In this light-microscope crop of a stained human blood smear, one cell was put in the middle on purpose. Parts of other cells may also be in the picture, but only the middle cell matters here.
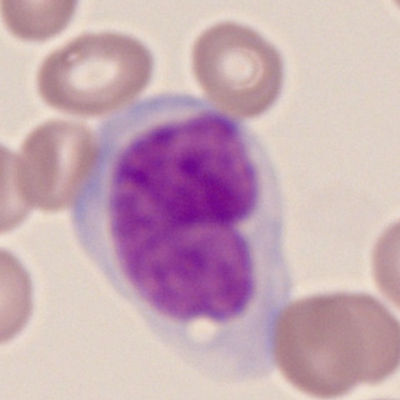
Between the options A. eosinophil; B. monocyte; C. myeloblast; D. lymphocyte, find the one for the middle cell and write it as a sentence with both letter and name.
The cell in the center of this crop is a monocyte, so option B is the one to pick.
